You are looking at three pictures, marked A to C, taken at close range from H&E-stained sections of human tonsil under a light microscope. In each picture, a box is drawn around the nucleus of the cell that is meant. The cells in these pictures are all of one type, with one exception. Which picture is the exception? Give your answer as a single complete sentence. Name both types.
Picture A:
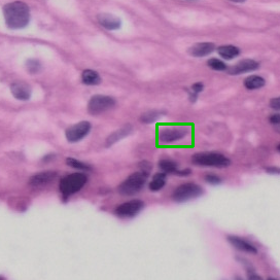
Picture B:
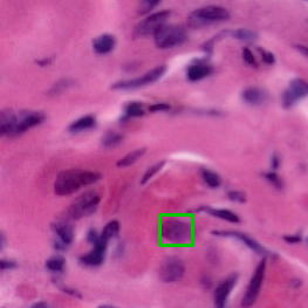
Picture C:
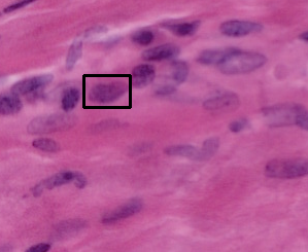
Picture A differs, because its cell is a squamous epithelial cell and the rest are endothelial cells.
